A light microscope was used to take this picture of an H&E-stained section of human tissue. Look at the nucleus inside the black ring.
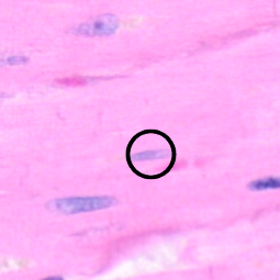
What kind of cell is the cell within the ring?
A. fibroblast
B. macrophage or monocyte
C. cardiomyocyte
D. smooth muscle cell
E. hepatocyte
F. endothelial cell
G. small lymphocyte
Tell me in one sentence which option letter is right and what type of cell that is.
In this item, the cell within the ring is a cardiomyocyte, and option C is right.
